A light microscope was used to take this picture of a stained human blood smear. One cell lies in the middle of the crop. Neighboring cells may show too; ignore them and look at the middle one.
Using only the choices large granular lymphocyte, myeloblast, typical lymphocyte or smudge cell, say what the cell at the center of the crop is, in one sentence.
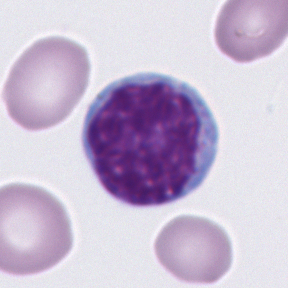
By classification, the middle cell of this crop is a myeloblast.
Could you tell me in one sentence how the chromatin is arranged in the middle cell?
The chromatin within its nucleus forms coarse clumps.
